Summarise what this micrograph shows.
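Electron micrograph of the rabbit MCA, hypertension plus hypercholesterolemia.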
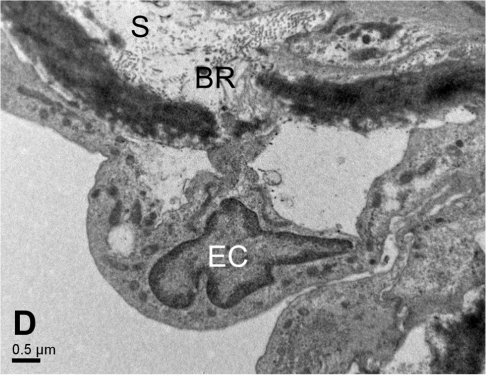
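Arterial wall with an endothelial cell bulging into the lumen, its nucleus elongated, lobulated and dense along the edge. The dark band of basement membrane beneath it is interrupted by a break filled with pale material. Above the band lies a wide pale extracellular space holding scattered fine fibrils, separating it from the smooth muscle cells beyond.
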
